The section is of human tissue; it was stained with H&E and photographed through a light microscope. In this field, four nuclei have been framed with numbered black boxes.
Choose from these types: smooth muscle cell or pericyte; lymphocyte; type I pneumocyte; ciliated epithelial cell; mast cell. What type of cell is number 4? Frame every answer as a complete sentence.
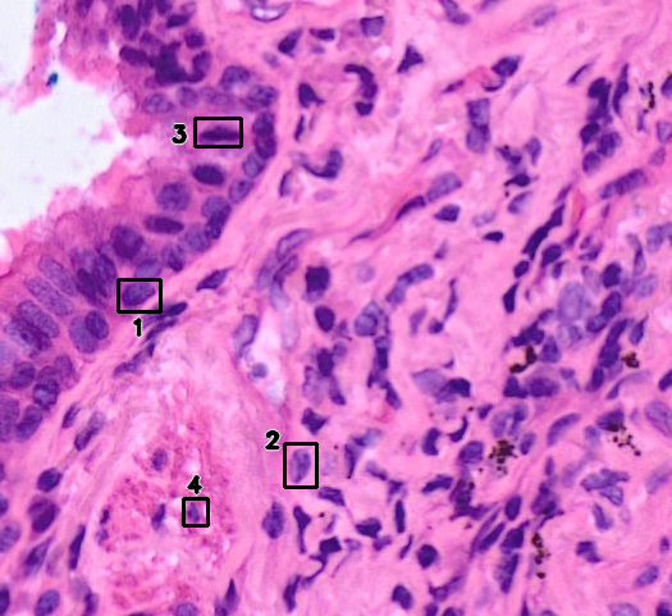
The cell referred to as 4 is a smooth muscle cell or pericyte.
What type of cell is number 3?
Corresponding to a ciliated epithelial cell is the cell labelled 3.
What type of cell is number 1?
The cell referenced by the number 1 is a ciliated epithelial cell in this field.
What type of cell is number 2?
Belonging to a lymphocyte is the nucleus that carries the number 2.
